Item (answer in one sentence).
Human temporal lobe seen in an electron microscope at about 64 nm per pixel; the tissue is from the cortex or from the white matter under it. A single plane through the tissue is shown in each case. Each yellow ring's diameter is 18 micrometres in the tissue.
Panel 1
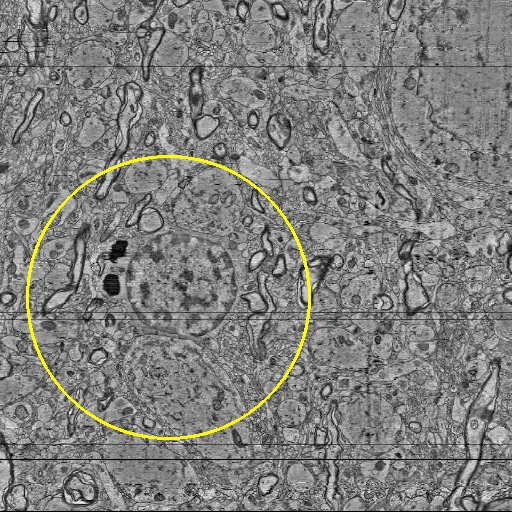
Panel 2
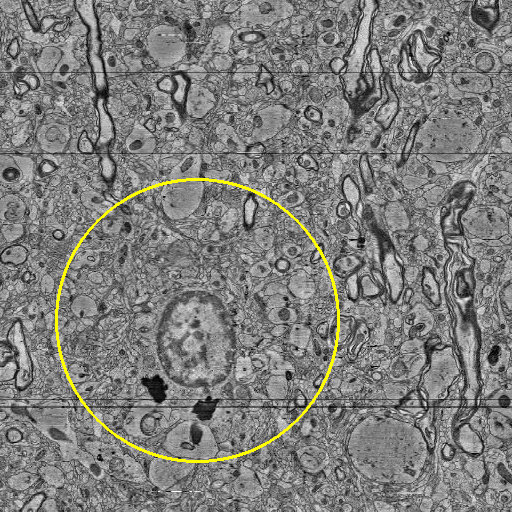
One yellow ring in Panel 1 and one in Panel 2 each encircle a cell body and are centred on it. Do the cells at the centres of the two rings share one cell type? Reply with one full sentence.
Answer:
Yes, Panel 1 and Panel 2 show cells of one type at the centres of their rings.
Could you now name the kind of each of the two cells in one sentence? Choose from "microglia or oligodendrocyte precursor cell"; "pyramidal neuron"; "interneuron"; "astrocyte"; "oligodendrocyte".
In the first picture and in the second, the ring is centred on an oligodendrocyte.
